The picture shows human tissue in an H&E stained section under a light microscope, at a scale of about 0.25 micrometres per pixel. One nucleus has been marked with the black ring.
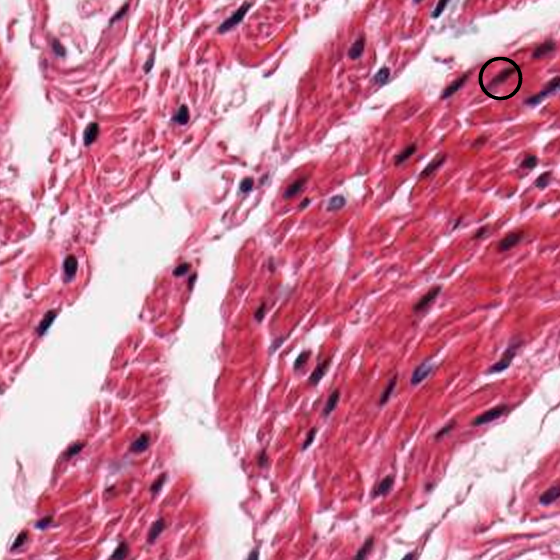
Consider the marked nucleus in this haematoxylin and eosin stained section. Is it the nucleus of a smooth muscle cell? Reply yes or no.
yes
